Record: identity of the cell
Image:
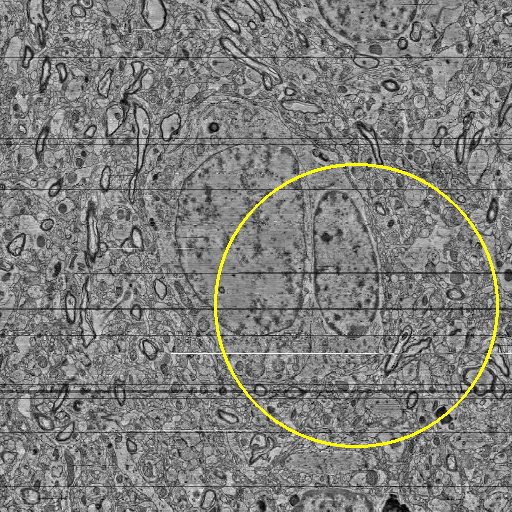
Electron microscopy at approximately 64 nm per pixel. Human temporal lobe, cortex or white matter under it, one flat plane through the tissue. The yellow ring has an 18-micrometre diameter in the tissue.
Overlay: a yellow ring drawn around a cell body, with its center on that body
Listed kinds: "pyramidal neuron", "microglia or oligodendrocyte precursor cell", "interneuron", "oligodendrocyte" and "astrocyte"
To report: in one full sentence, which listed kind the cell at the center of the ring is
In the image, the cell body at the ring's center belongs to a microglial cell or oligodendrocyte precursor cell.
